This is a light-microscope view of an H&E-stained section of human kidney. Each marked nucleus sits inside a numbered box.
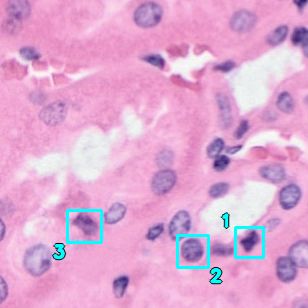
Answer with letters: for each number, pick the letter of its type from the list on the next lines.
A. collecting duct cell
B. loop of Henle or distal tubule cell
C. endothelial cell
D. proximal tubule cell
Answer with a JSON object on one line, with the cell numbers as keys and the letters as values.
{"1": "A", "2": "A", "3": "D"}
